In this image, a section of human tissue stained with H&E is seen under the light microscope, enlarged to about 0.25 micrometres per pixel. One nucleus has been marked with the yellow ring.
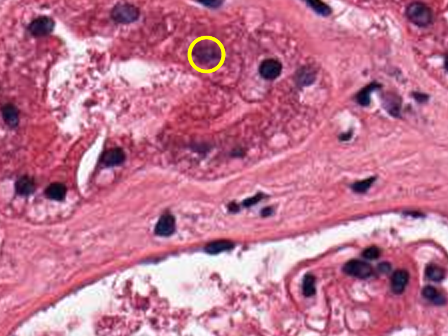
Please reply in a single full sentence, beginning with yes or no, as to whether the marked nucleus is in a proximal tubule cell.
Yes, the marked nucleus, in this picture, is that of a proximal tubule cell.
